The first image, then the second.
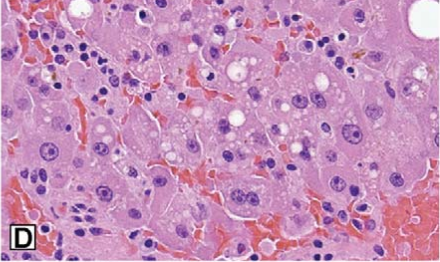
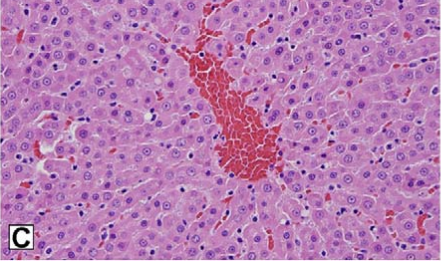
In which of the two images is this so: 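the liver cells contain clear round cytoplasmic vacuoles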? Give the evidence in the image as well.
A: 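First image: many liver cells hold clear round vacuoles. Second image: the liver cells have even pink cytoplasm without vacuoles.
Hence: the first image.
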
